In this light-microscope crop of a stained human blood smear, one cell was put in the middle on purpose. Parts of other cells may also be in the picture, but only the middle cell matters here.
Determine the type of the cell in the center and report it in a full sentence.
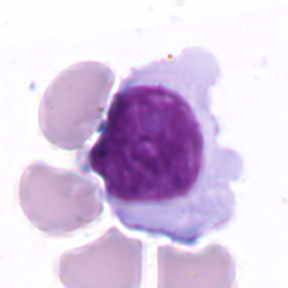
The cell nearest the centre of this crop is a plasma cell.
